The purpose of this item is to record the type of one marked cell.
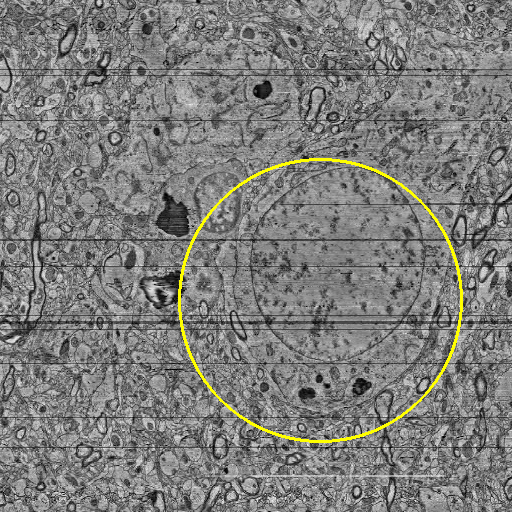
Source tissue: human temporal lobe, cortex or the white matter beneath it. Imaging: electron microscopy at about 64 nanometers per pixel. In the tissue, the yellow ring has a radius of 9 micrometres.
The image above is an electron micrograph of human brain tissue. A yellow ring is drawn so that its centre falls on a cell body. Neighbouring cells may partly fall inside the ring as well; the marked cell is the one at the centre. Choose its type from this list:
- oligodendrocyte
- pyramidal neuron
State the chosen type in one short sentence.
What the ring marks here is a pyramidal neuron.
